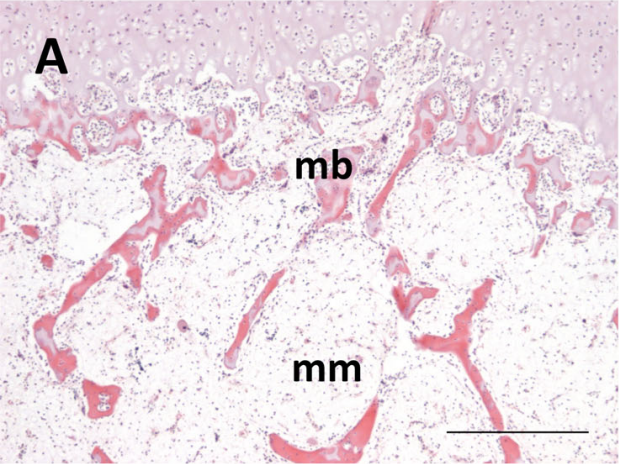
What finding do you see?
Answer: marked osteopenia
